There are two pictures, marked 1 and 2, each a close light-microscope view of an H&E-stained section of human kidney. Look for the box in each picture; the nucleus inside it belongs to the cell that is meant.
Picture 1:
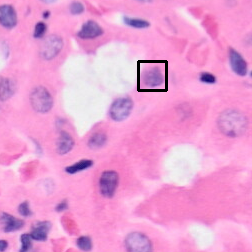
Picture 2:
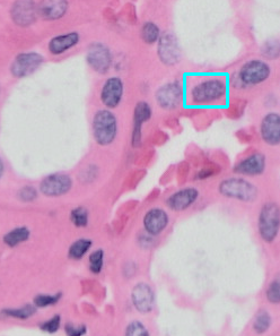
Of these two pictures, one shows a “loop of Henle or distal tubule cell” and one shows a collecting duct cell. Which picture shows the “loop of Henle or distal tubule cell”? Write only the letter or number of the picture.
1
